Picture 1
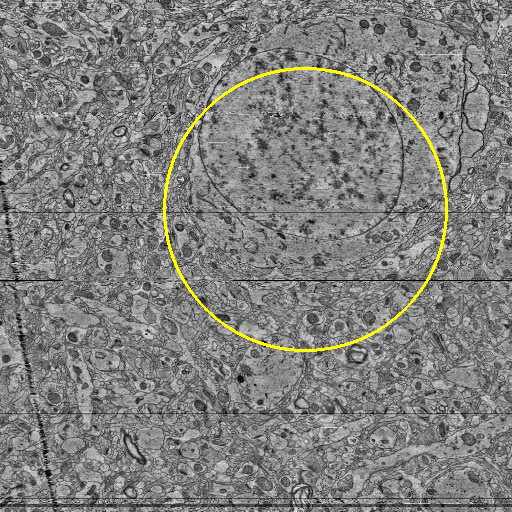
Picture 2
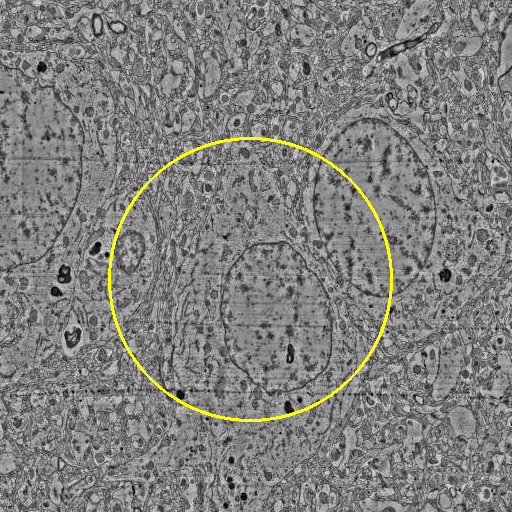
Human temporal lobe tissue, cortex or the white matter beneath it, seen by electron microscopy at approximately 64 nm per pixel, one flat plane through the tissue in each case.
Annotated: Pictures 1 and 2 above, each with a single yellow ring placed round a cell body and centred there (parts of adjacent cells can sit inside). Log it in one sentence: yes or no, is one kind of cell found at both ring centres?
Yes, the ring centres of the two pictures hold cells of one kind.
